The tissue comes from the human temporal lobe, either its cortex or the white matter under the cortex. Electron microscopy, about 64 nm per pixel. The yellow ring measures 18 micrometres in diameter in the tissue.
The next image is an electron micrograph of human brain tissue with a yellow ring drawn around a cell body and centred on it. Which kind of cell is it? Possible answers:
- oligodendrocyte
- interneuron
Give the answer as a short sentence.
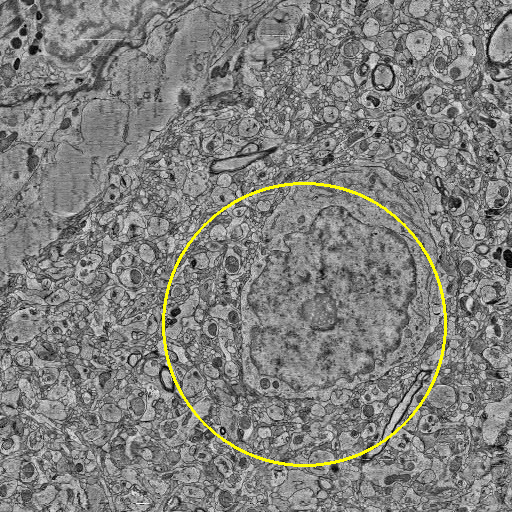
In the ring's centre is an interneuron.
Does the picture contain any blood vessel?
Yes, one is visible.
